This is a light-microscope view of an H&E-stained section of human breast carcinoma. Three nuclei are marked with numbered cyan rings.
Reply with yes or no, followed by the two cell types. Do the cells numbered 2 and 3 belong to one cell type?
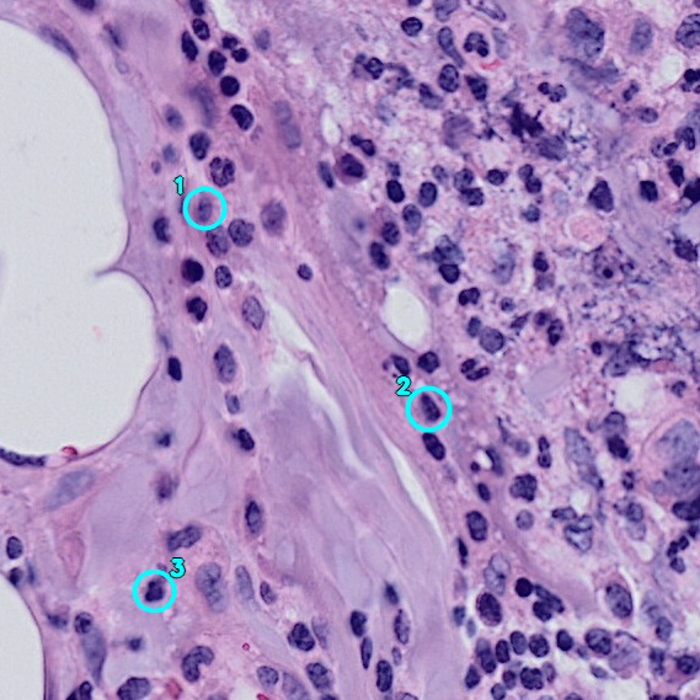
Yes, cell 2 is one of the lymphocytes, and so is cell 3.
